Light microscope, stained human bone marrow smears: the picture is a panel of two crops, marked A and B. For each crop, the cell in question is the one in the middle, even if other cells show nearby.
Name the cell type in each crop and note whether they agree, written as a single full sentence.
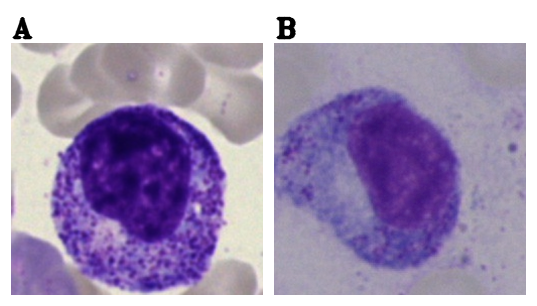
Yes, both crops show promyelocytes, with no exception.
